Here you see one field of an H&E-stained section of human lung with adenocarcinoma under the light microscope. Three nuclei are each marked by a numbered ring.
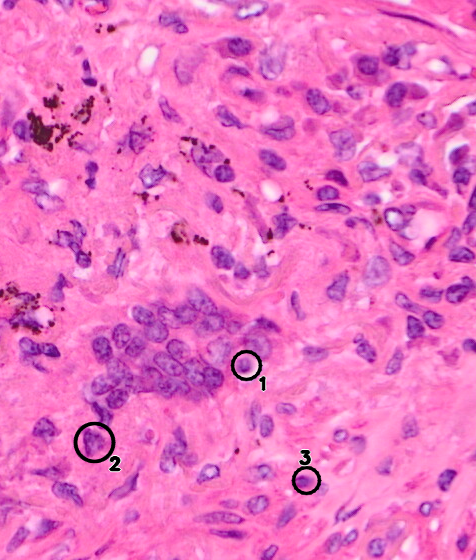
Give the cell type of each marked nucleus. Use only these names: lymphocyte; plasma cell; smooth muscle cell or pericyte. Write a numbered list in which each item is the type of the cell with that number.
1. lymphocyte
2. plasma cell
3. smooth muscle cell or pericyte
